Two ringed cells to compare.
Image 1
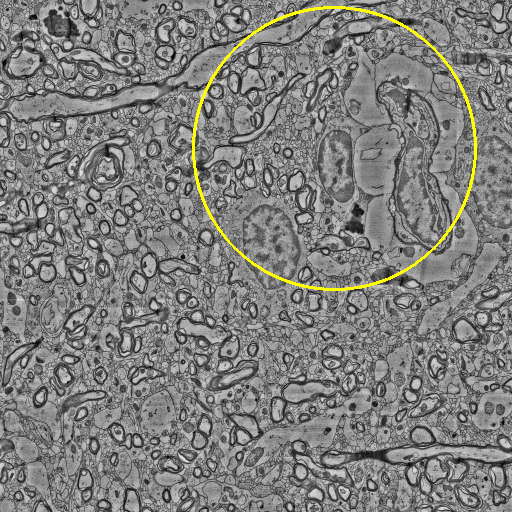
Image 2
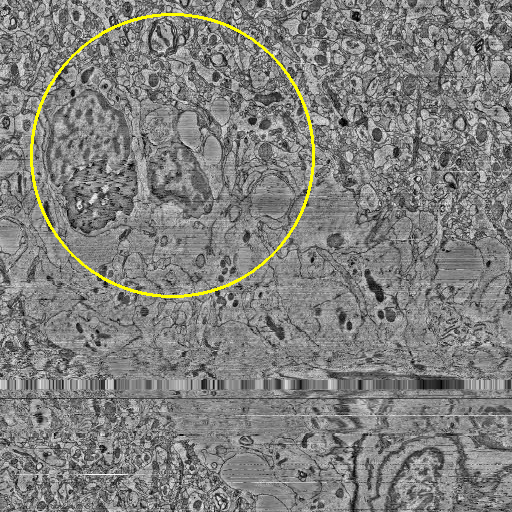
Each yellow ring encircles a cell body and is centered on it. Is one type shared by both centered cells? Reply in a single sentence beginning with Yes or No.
No, two types are found among the cells at the centers of the rings.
